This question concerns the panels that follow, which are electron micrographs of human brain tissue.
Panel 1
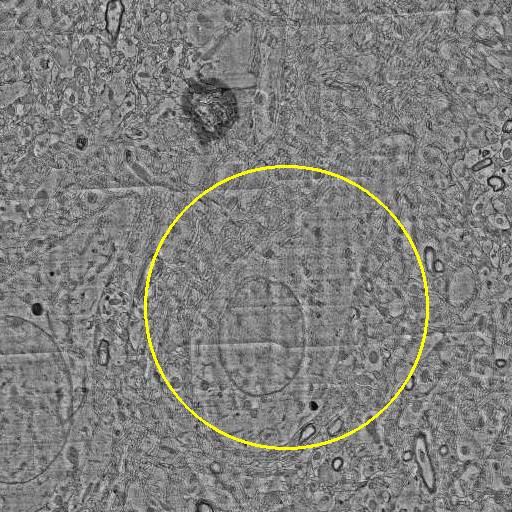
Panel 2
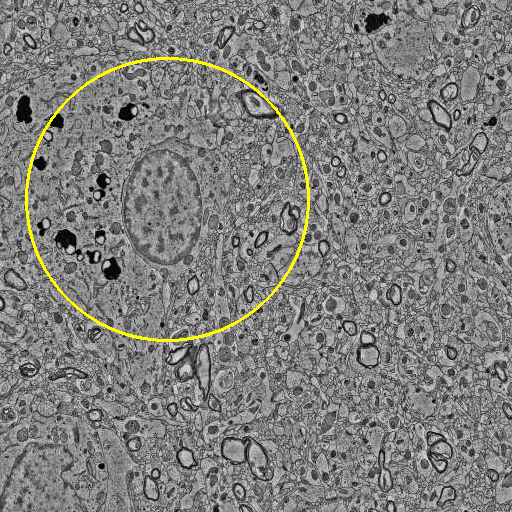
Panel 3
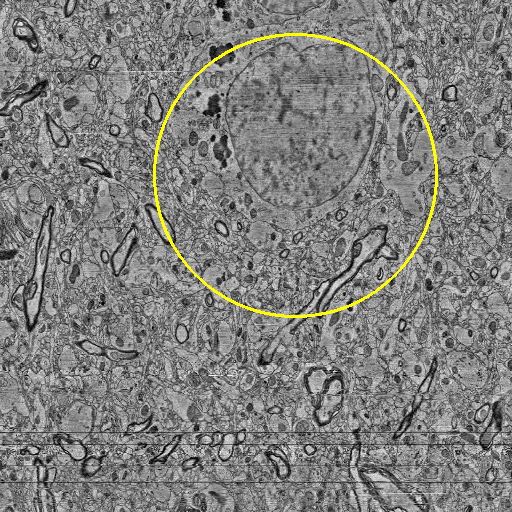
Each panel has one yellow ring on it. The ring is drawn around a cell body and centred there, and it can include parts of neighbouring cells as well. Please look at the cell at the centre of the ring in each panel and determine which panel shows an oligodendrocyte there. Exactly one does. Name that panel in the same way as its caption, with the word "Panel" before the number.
Panel 2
